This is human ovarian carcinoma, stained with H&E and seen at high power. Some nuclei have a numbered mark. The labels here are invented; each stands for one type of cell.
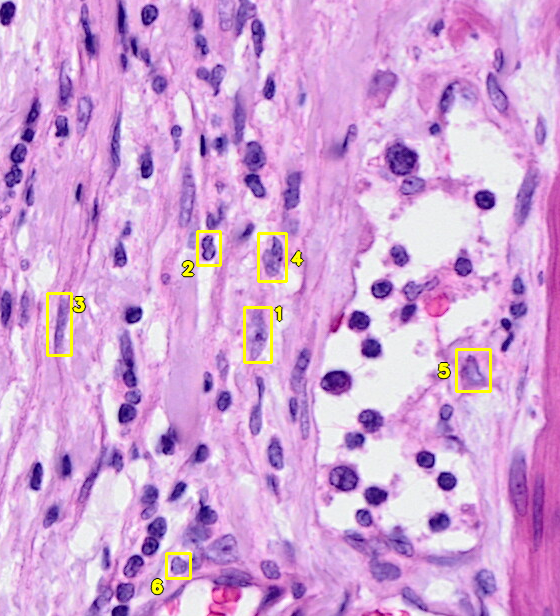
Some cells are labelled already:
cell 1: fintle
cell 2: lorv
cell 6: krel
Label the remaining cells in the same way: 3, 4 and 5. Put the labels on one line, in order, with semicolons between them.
fintle; krel; fintle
